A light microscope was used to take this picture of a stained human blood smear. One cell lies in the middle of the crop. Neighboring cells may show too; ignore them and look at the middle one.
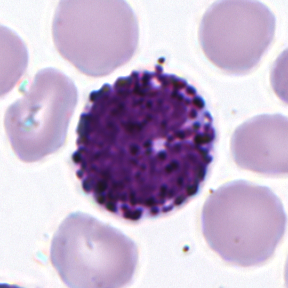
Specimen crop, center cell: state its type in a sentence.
What the crop centres on is a basophil.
